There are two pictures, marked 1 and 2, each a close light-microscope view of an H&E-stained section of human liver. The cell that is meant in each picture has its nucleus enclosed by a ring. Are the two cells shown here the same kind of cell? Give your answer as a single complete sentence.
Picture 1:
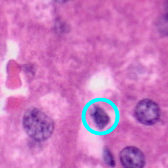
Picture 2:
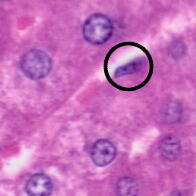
Yes, they are the same type: both are endothelial cells.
